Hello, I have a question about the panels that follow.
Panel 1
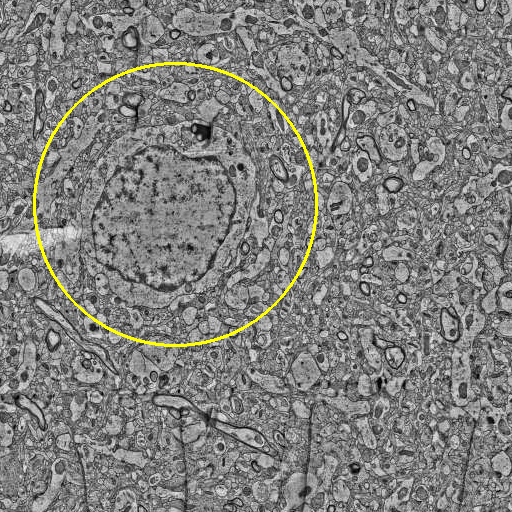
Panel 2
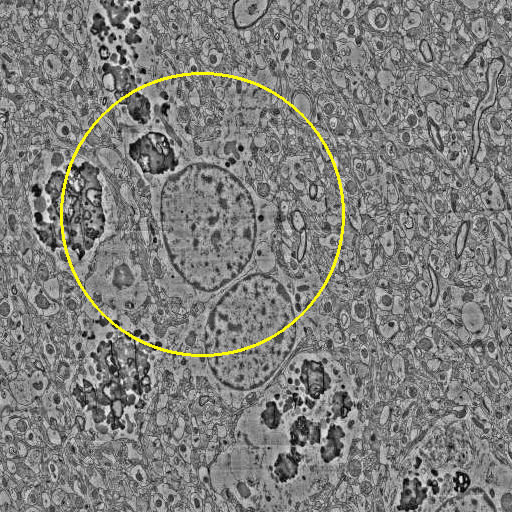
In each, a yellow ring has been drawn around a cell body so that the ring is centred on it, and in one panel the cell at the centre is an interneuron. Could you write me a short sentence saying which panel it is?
It is Panel 1.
